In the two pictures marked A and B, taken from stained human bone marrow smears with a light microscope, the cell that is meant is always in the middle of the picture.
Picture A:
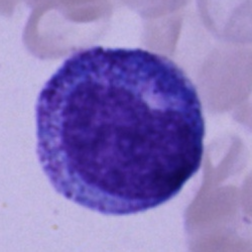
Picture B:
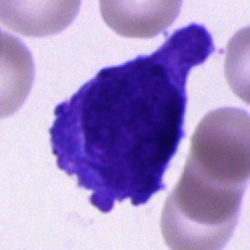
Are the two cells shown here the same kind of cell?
no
